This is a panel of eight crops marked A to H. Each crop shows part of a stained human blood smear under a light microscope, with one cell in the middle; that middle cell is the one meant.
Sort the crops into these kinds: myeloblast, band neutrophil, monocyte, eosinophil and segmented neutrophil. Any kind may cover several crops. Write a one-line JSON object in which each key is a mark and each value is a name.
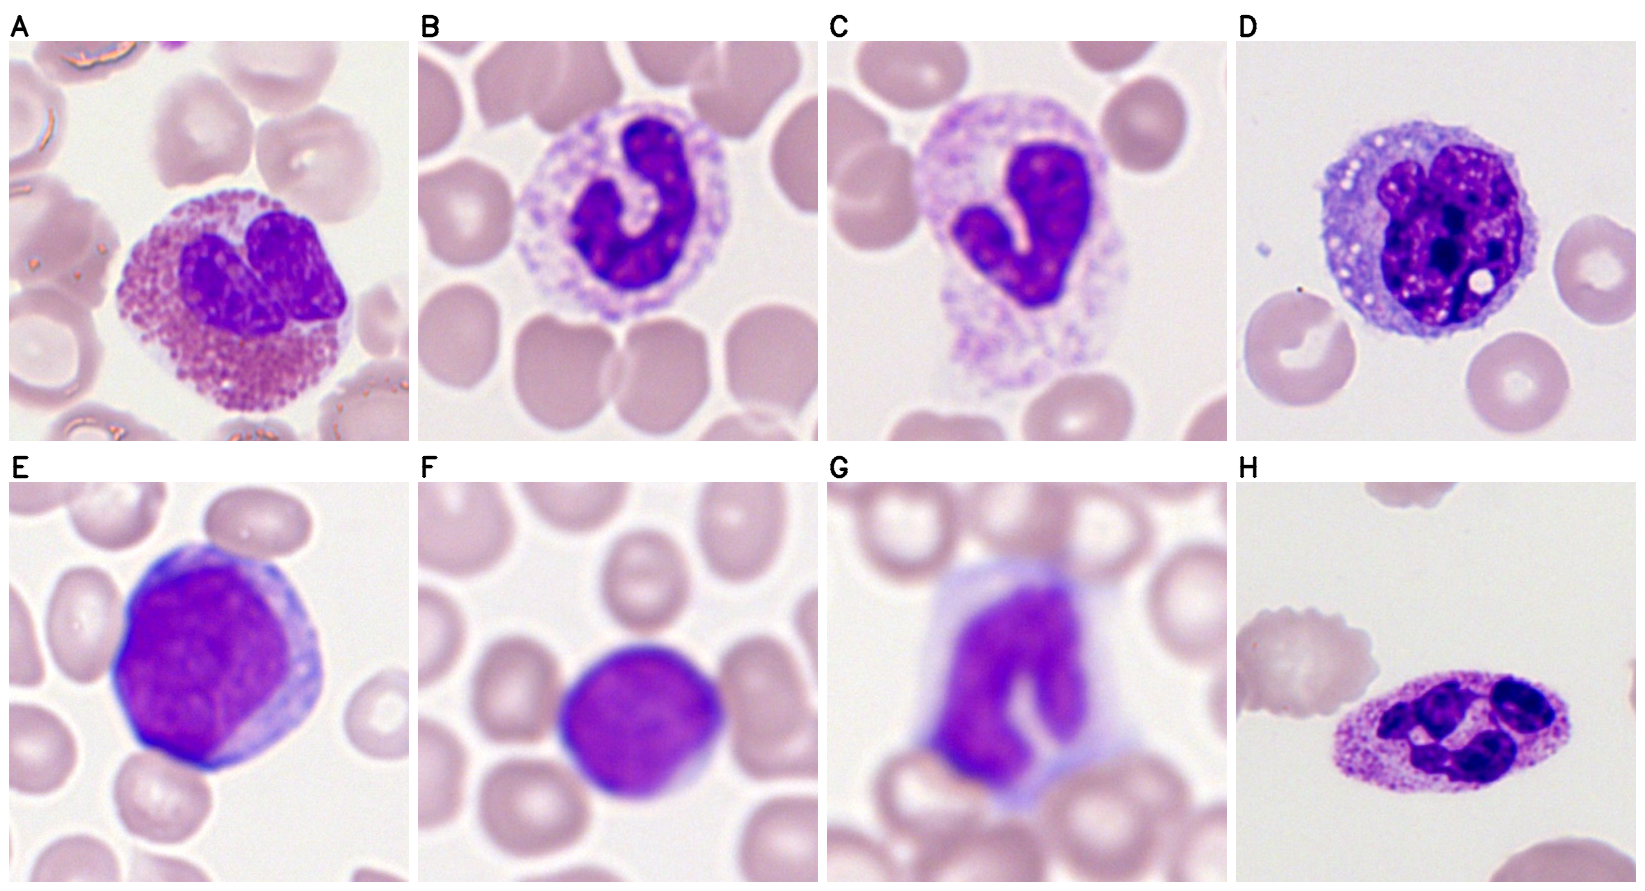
{"A": "eosinophil", "B": "band neutrophil", "C": "band neutrophil", "D": "monocyte", "E": "myeloblast", "F": "myeloblast", "G": "monocyte", "H": "segmented neutrophil"}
